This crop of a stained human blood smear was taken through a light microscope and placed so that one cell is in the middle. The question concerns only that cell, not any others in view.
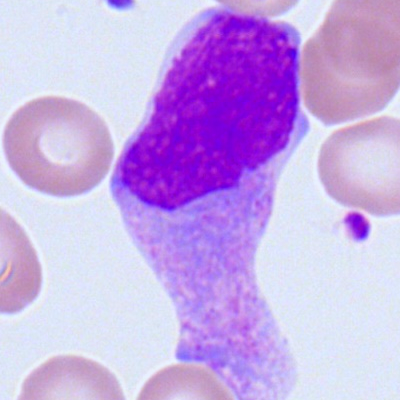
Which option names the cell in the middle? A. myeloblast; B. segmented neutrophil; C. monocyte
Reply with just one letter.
C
